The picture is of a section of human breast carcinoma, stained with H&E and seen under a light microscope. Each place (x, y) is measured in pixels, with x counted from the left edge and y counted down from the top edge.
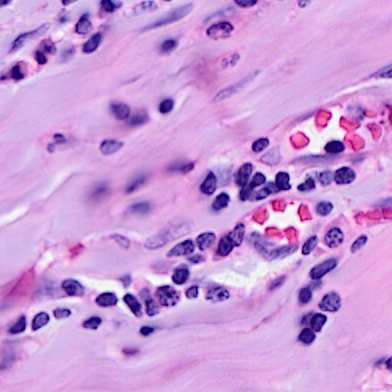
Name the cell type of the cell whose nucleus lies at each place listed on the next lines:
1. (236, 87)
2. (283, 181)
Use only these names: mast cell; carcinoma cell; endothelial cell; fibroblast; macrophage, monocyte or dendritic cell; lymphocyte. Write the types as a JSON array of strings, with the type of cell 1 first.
["fibroblast", "lymphocyte"]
